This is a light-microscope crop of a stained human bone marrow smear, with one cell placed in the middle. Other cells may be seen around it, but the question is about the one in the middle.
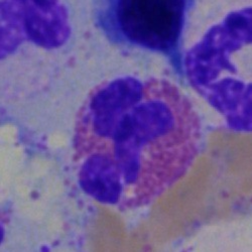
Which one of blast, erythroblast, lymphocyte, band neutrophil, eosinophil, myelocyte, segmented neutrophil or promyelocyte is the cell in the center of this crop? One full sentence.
In the middle of this smear crop, the cell is an eosinophil.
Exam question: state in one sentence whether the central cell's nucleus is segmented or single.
Look at the nucleus and you will find it divided into two or more lobes.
